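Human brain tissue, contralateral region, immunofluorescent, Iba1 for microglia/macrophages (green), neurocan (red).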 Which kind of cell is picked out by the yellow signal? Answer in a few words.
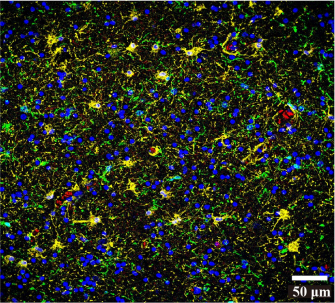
Astrocytes.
